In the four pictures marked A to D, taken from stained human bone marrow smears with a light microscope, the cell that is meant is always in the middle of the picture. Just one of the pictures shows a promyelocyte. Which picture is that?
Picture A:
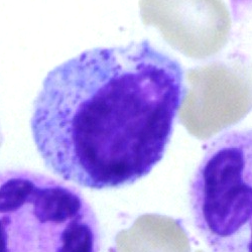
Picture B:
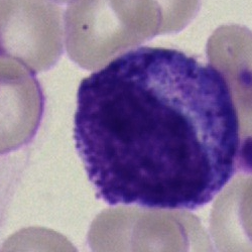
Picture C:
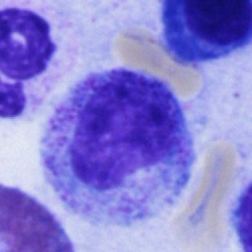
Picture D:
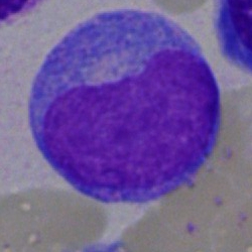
D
